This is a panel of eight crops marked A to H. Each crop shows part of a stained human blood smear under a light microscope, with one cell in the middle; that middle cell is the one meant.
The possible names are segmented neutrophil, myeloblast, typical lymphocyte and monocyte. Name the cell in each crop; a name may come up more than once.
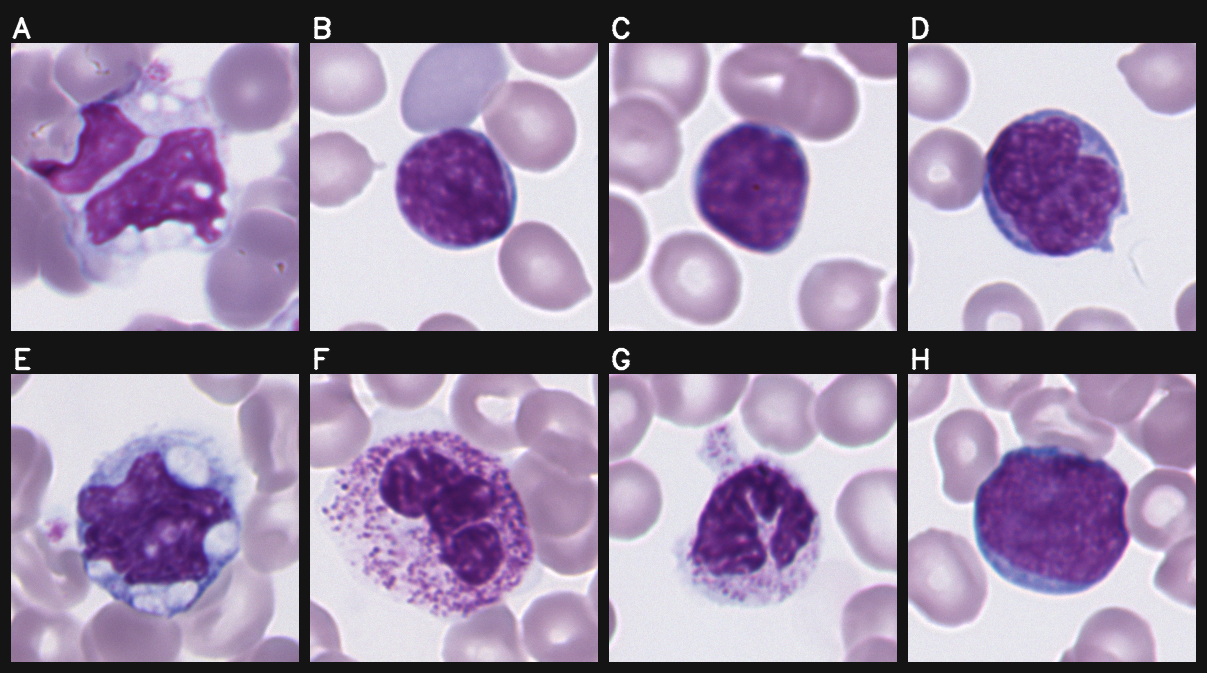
A: monocyte
B: typical lymphocyte
C: myeloblast
D: myeloblast
E: monocyte
F: segmented neutrophil
G: segmented neutrophil
H: myeloblast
